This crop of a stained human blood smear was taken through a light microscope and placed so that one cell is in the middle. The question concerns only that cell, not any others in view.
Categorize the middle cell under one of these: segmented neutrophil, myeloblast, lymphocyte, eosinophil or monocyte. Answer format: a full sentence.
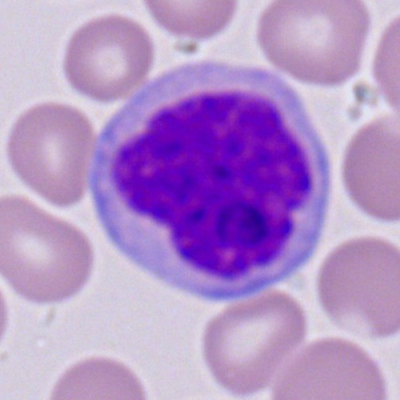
The cell marked by its central position in the crop is a monocyte.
